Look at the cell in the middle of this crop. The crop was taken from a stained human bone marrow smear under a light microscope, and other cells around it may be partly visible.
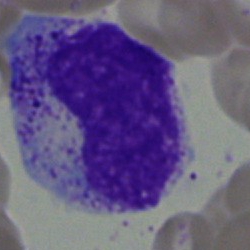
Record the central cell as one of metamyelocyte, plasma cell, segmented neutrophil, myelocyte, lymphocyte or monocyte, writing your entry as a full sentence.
In the middle of this smear crop, the cell is a metamyelocyte.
